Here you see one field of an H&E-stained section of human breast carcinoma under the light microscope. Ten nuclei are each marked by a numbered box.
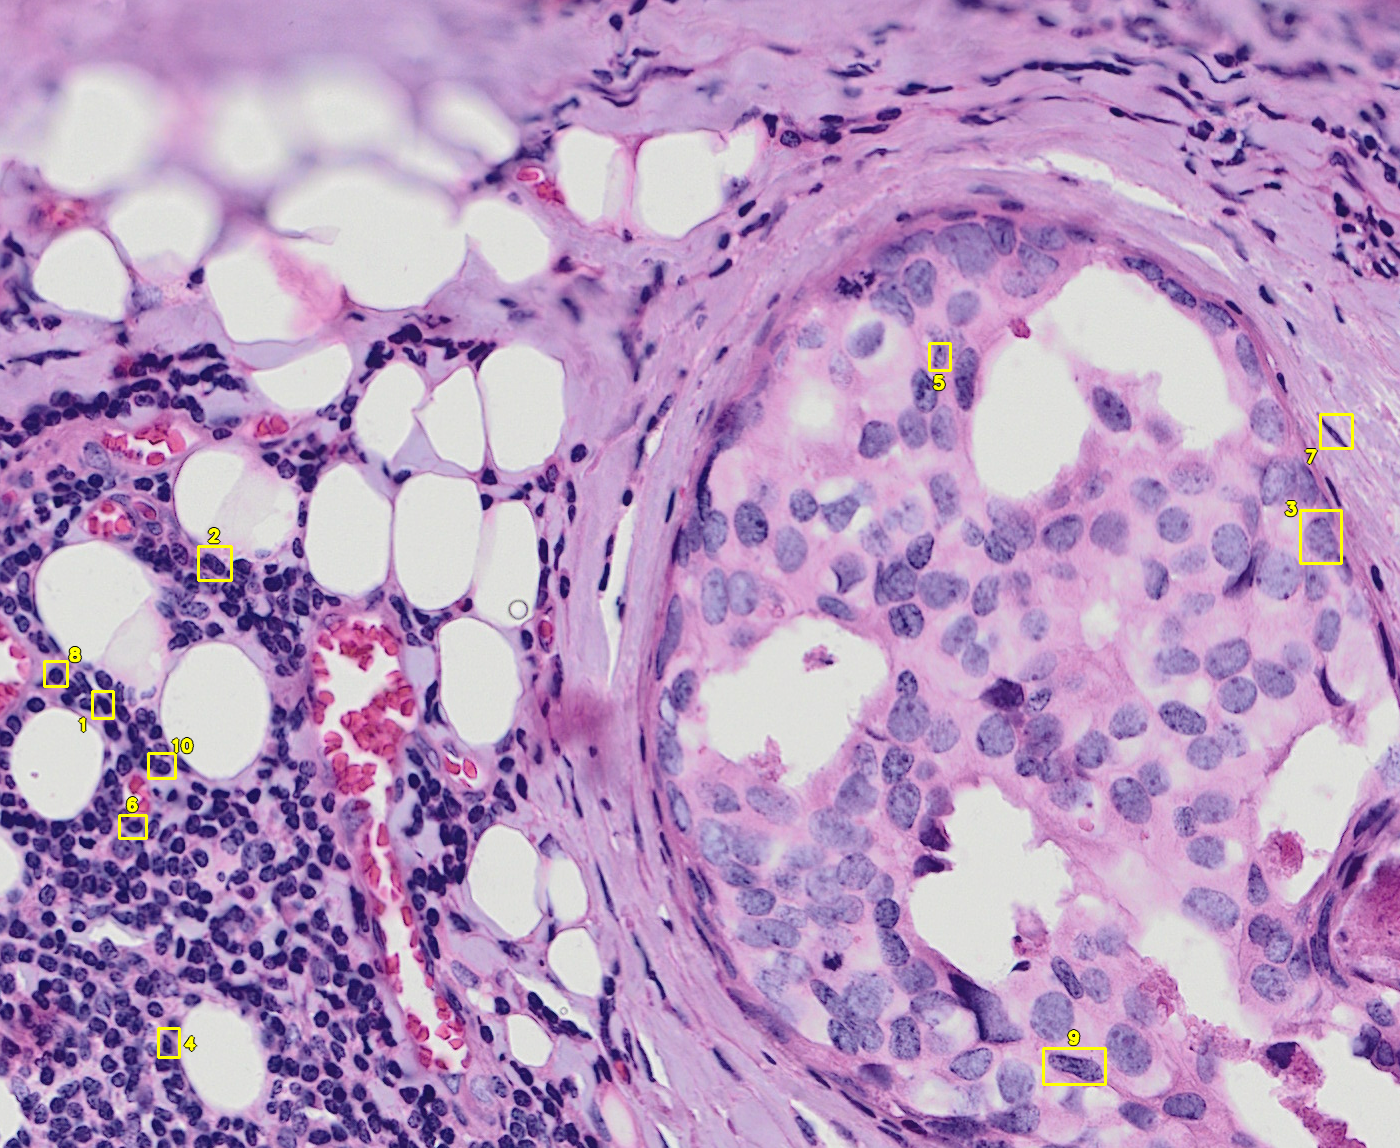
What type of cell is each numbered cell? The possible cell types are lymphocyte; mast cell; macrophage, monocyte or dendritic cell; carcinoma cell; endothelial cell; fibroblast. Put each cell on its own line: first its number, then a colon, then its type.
1: lymphocyte
2: lymphocyte
3: carcinoma cell
4: lymphocyte
5: carcinoma cell
6: lymphocyte
7: fibroblast
8: lymphocyte
9: carcinoma cell
10: lymphocyte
